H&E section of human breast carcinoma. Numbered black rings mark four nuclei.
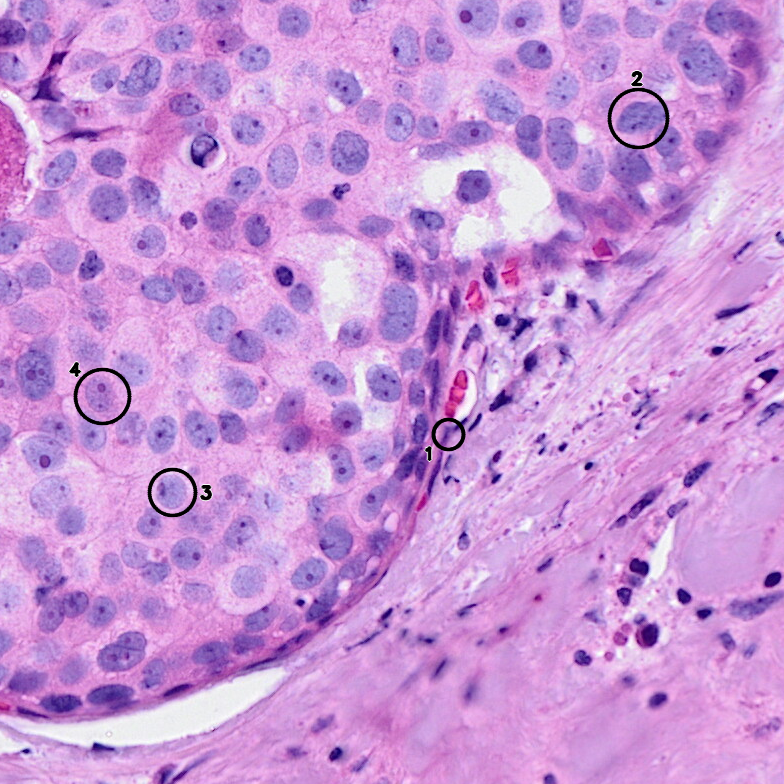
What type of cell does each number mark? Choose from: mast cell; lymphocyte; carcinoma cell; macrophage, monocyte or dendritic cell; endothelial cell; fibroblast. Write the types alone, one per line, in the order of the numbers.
endothelial cell
carcinoma cell
carcinoma cell
carcinoma cell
